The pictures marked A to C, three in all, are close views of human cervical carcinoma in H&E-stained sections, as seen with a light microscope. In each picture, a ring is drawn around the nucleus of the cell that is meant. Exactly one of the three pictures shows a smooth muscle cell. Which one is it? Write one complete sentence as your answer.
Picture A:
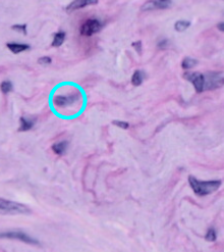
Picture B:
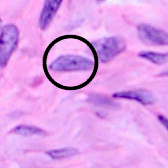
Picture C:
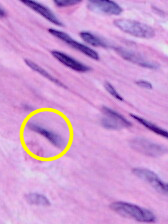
The smooth muscle cell is the one in picture A.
